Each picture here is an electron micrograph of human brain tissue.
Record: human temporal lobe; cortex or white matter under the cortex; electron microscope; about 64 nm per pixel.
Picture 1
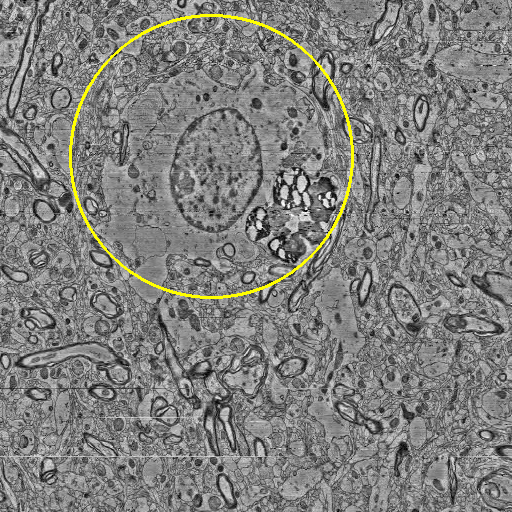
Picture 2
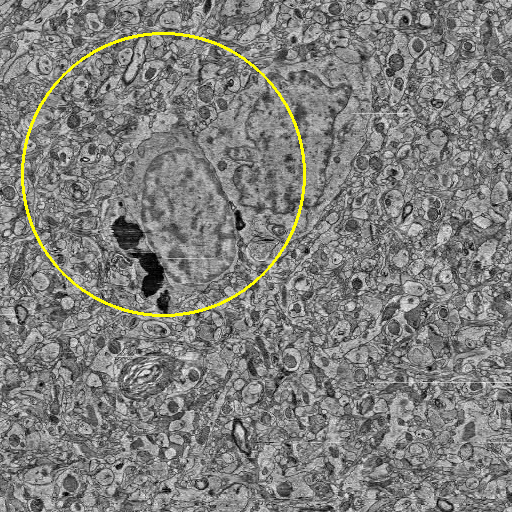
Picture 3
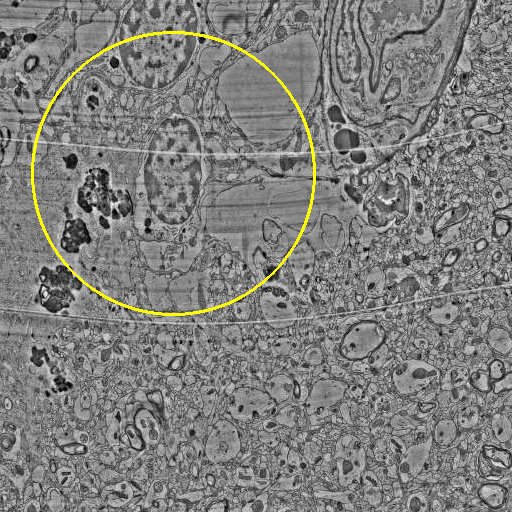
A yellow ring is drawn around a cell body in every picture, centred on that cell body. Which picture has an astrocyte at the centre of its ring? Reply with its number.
1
